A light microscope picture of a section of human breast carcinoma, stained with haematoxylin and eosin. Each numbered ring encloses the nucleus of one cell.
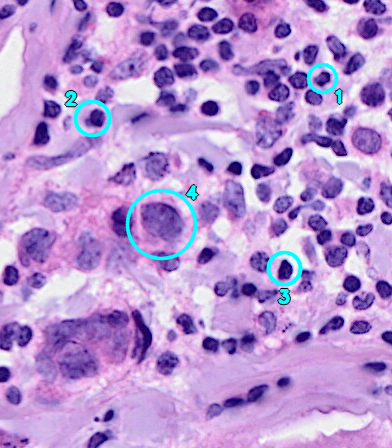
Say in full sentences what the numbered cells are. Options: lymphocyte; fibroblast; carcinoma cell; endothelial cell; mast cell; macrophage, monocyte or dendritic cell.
Cell 1 is a lymphocyte, cell 2 is a lymphocyte, cell 3 is a lymphocyte and cell 4 is a carcinoma cell.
